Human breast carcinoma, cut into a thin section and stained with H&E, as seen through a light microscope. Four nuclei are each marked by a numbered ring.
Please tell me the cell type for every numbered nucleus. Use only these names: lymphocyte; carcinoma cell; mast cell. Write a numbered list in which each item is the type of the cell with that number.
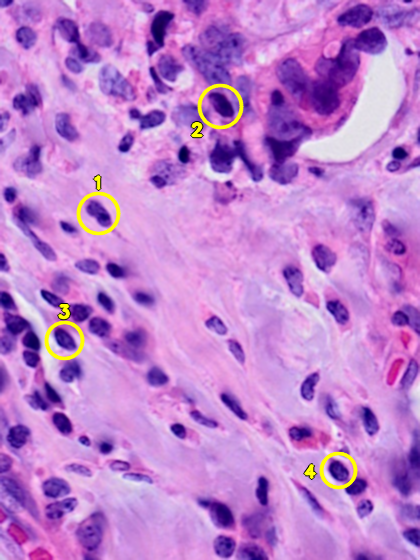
1. lymphocyte
2. carcinoma cell
3. lymphocyte
4. lymphocyte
